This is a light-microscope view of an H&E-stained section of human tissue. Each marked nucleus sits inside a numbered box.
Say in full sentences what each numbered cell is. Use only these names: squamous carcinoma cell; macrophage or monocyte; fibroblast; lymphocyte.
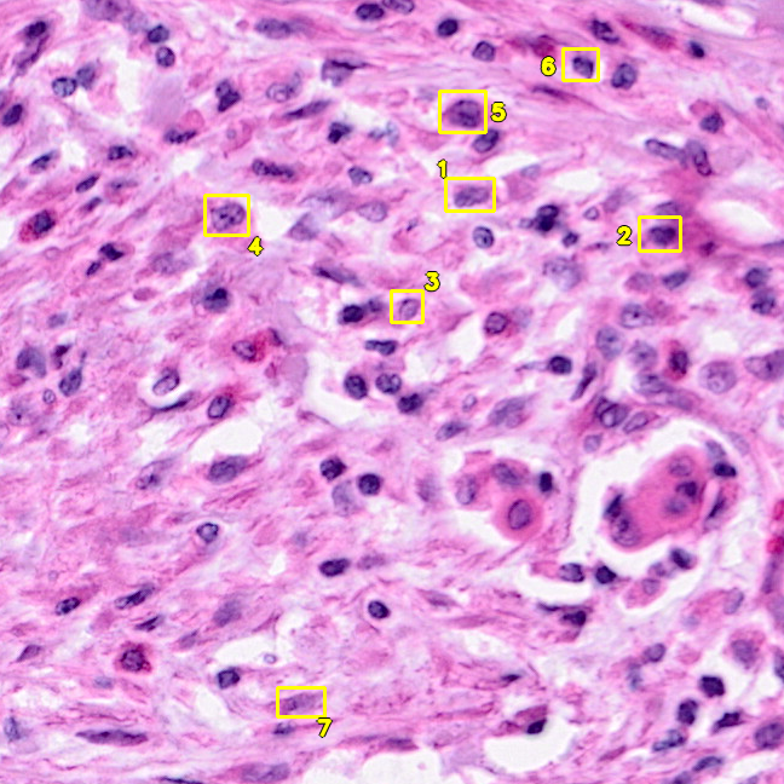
Cells 1, 3, 4 and 5 are macrophages or monocytes. Cells 2 and 6 are lymphocytes. Cell 7 is a fibroblast.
